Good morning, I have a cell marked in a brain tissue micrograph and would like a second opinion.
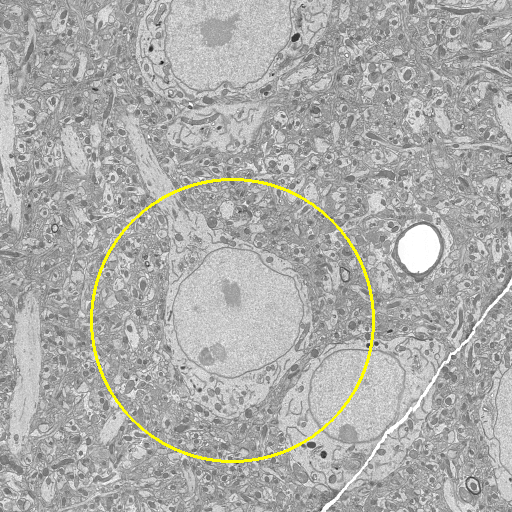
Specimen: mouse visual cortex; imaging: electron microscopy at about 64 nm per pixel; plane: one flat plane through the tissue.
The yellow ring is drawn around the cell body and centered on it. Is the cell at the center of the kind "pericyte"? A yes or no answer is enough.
no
